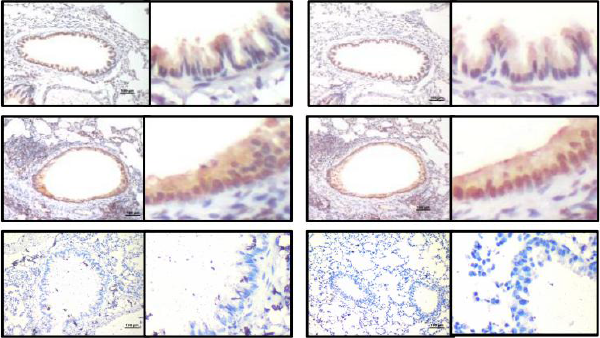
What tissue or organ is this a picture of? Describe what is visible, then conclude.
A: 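Round airways cut in cross-section with a lining layer of cells. Thin-walled alveolar tissue surrounds the airways.
Lung.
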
